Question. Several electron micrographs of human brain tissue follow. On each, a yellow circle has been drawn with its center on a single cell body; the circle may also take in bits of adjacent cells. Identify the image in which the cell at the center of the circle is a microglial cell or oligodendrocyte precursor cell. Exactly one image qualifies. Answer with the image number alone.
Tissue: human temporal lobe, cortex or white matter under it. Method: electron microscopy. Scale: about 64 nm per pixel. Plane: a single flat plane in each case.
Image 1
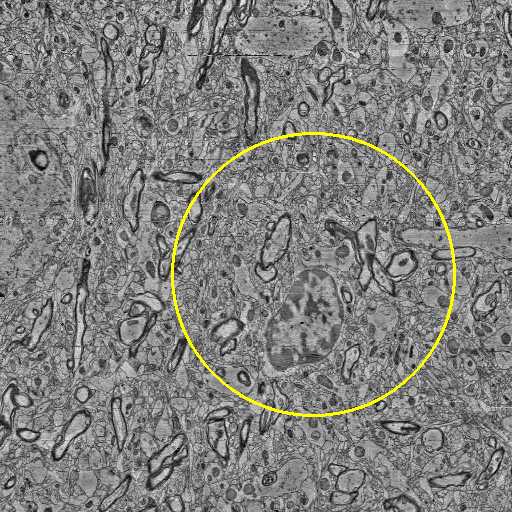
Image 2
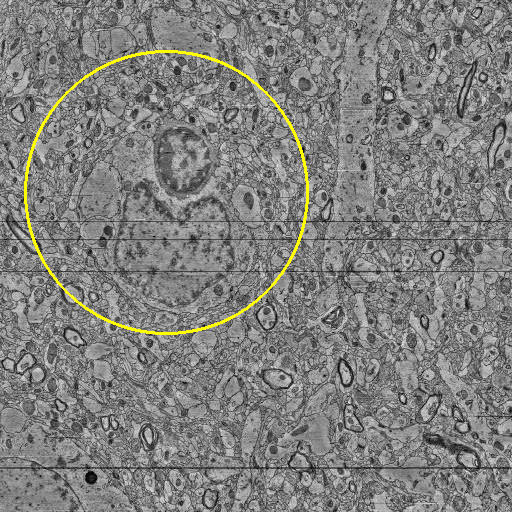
1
